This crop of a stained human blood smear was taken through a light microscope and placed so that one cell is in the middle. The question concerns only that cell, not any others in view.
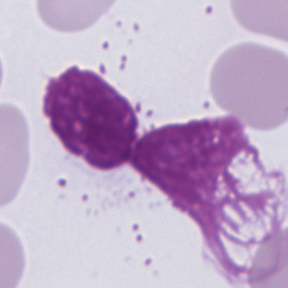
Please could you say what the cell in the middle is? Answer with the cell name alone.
smudge cell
